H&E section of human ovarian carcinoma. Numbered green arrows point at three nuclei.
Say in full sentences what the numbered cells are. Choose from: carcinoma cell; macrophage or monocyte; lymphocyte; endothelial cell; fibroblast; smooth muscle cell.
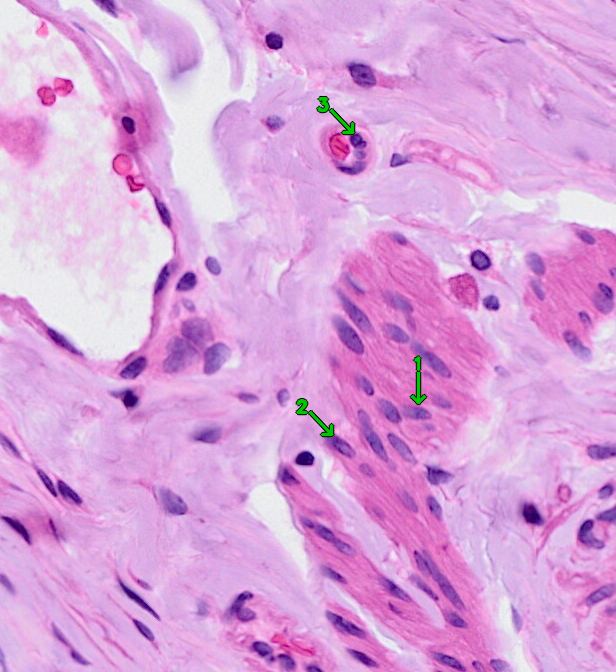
Cells 1 and 2 are smooth muscle cells. Cell 3 is an endothelial cell.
